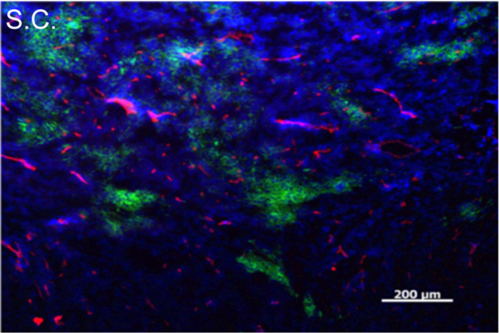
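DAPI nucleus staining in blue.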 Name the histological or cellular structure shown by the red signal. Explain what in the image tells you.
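Red staining forms thin elongated and branching lines. The red lines are scattered through the tissue between green patches.
Vessels.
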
